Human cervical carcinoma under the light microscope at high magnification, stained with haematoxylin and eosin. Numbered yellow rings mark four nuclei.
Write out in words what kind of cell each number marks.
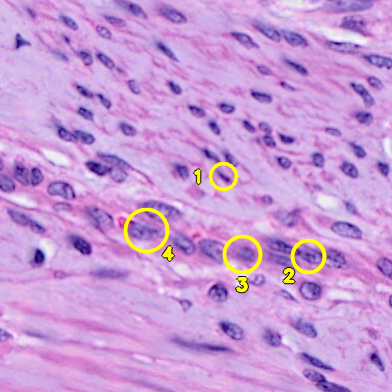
Cell 1 is a smooth muscle cell, cell 2 is an endothelial cell, cell 3 is an endothelial cell and cell 4 is an endothelial cell.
